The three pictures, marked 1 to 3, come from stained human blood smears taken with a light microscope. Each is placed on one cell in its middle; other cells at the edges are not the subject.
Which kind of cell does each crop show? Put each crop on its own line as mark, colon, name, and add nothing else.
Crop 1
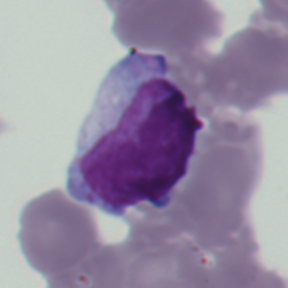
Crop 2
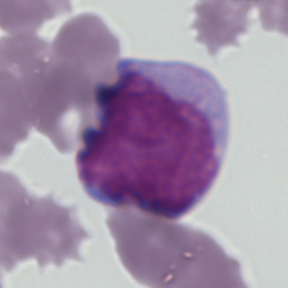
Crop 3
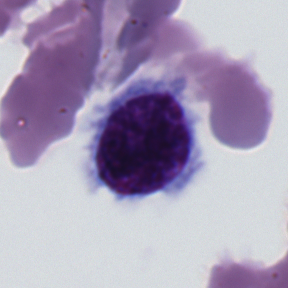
1: myeloblast
2: myeloblast
3: hairy cell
